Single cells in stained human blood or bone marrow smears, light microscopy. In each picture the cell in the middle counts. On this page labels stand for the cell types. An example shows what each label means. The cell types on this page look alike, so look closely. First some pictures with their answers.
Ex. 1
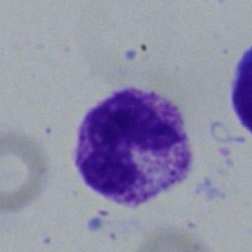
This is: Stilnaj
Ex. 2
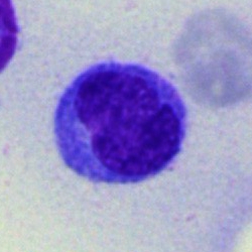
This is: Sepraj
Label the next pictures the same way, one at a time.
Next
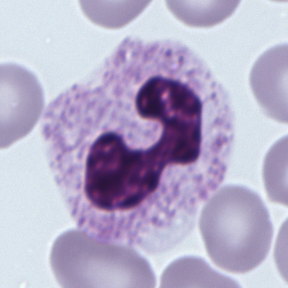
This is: Stilnaj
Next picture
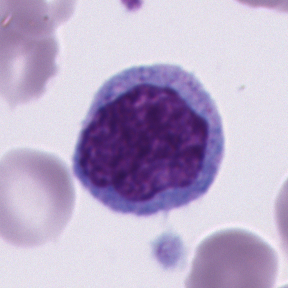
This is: Sepraj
